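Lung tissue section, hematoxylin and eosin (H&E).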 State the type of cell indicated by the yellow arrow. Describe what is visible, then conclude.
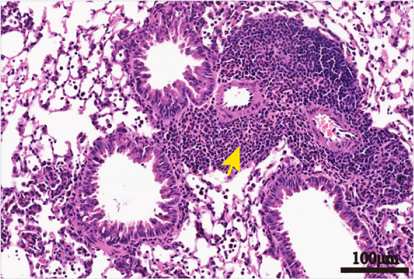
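Inflammatory infiltrating cells. A dense sheet of small, dark purple, round nuclei fills the tissue around the airways. The crowded cells have little cytoplasm and lie packed between the bronchioles and a vessel.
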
